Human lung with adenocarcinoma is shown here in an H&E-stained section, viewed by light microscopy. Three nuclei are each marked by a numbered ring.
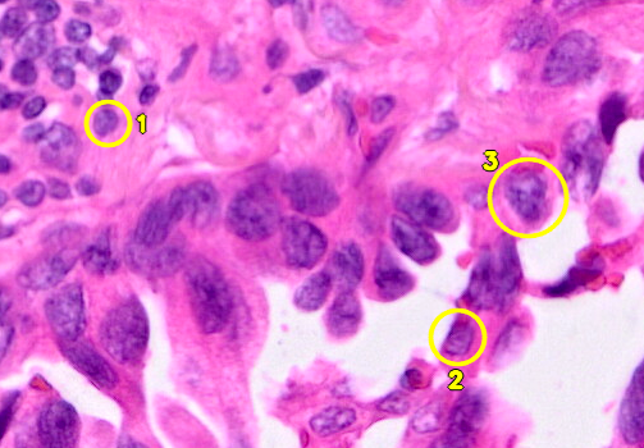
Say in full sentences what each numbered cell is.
Cell 1 is a lymphocyte, cell 2 is a carcinoma cell and cell 3 is a carcinoma cell.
